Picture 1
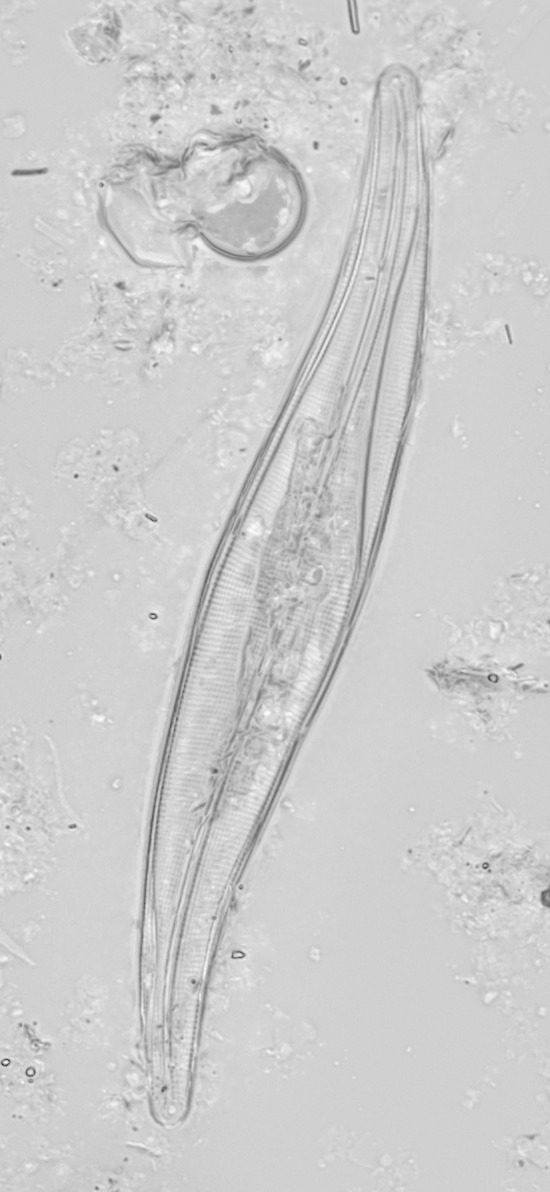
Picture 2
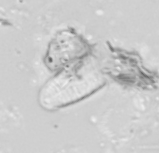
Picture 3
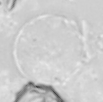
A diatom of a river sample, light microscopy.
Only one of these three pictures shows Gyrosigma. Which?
Picture 1.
